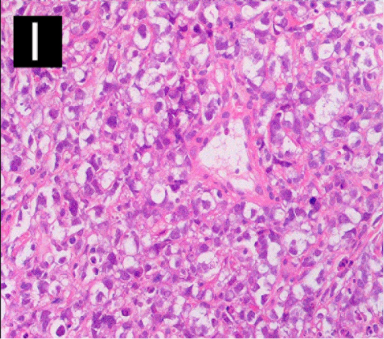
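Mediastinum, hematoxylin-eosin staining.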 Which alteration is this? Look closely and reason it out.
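Sheets of large cells fill the field. Nuclei are enlarged, dark and irregular in outline. Many cells have pale or clear cytoplasm. On this evidence: medium to large cells with irregular nucleus.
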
